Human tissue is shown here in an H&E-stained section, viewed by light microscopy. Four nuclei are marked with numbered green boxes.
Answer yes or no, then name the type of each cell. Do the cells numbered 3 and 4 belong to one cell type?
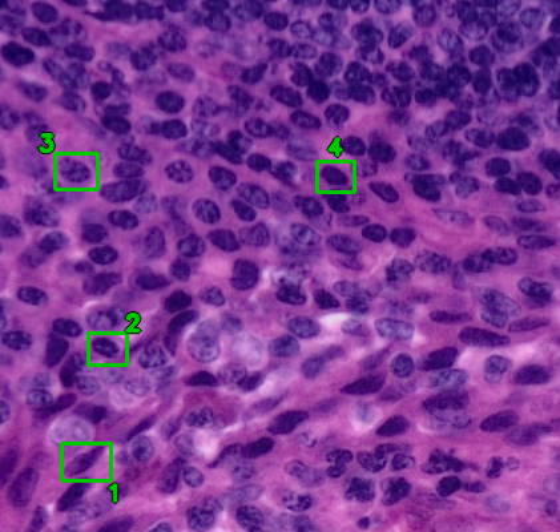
Yes, cell number 3 and cell number 4 are both plasma cells.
